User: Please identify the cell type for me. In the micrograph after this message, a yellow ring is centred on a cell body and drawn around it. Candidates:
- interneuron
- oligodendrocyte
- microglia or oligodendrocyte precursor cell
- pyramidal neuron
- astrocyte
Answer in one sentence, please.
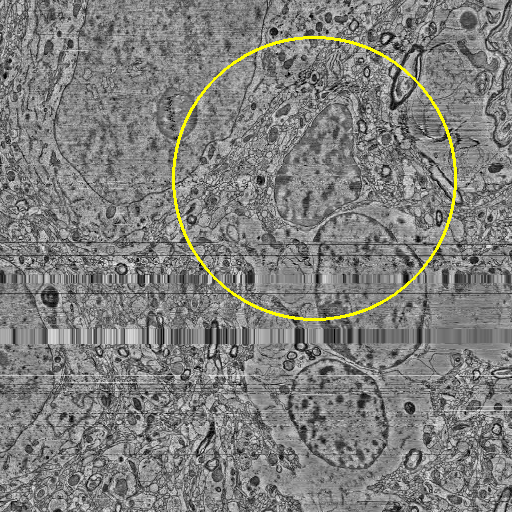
The ring is drawn around the cell body of a microglial cell or oligodendrocyte precursor cell.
